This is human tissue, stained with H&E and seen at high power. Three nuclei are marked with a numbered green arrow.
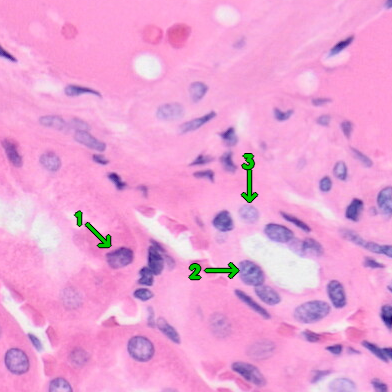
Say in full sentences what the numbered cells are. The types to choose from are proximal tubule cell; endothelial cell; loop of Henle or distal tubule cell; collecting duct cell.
Cell 1 is a proximal tubule cell. Cells 2 and 3 are collecting duct cells.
